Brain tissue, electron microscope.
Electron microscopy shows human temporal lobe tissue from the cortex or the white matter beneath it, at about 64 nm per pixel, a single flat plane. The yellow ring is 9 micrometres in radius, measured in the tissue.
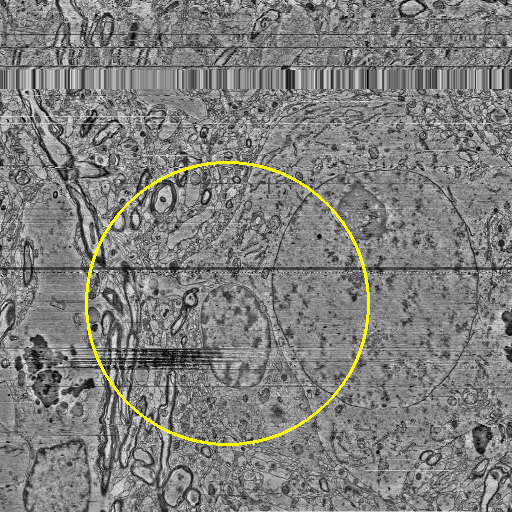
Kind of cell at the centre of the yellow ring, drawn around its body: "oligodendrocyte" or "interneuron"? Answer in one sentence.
The ring's centre falls on an oligodendrocyte.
